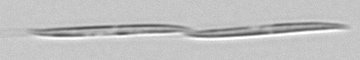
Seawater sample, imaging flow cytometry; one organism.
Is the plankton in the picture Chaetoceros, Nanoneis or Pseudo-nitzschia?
It is Pseudo-nitzschia.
